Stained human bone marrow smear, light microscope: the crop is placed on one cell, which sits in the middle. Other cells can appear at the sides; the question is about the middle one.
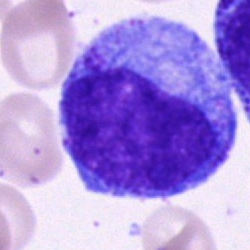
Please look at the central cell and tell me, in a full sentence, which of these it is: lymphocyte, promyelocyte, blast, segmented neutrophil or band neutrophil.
As for the central cell, it is a promyelocyte.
